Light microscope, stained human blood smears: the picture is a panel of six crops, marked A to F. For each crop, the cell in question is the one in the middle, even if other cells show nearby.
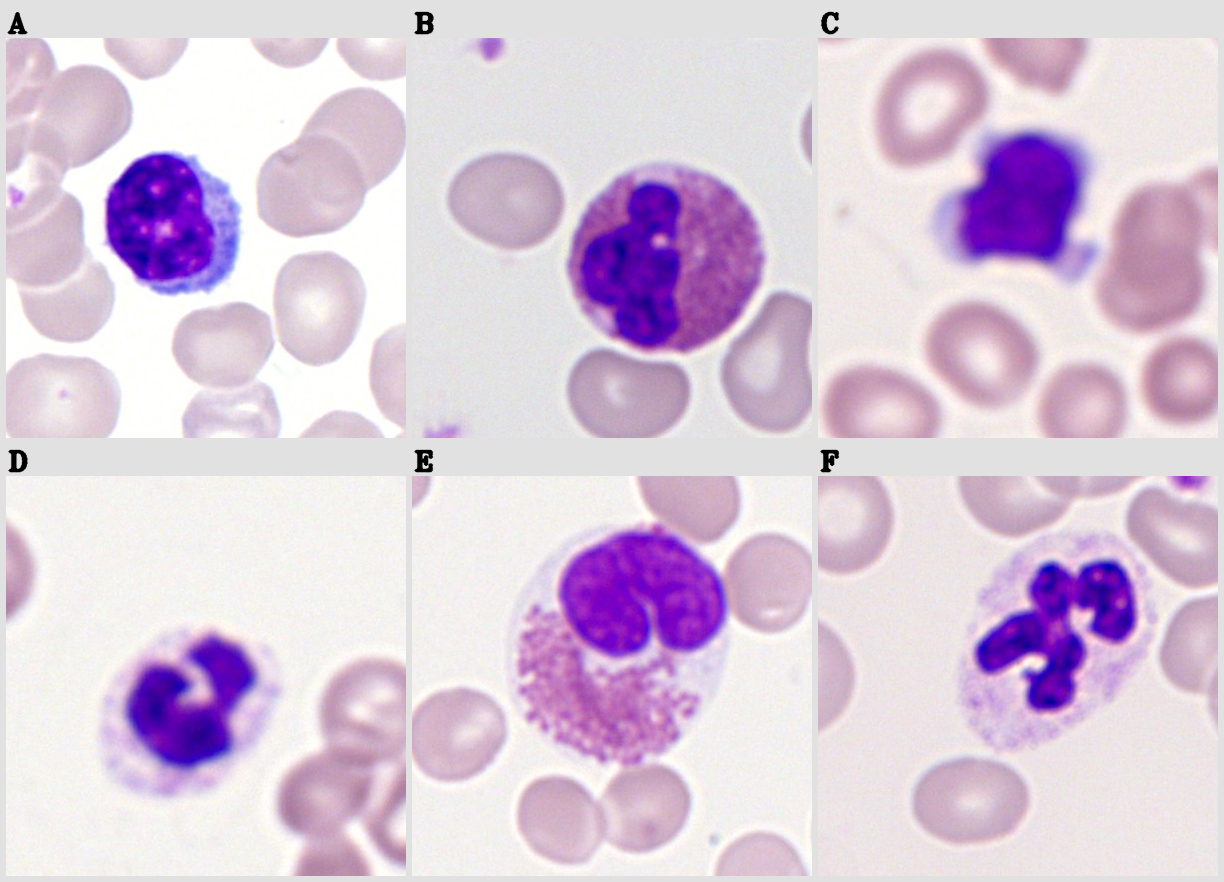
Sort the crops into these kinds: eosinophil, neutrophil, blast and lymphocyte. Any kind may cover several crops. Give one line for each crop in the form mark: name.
A: lymphocyte
B: eosinophil
C: lymphocyte
D: neutrophil
E: eosinophil
F: neutrophil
